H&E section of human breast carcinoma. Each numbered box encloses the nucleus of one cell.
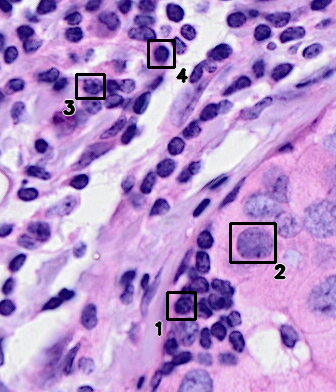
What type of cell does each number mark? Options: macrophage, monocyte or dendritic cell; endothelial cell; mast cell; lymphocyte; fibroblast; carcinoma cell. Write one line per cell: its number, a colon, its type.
1: lymphocyte
2: carcinoma cell
3: lymphocyte
4: lymphocyte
